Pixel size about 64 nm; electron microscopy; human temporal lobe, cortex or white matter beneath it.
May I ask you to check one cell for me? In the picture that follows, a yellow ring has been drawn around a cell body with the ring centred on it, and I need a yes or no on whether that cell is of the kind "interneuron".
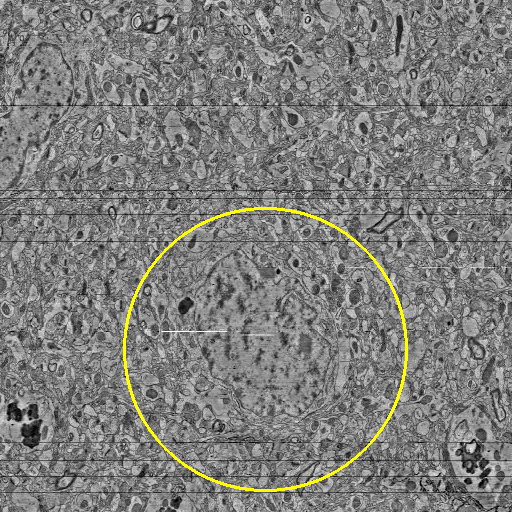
Yes, it is that kind of cell.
